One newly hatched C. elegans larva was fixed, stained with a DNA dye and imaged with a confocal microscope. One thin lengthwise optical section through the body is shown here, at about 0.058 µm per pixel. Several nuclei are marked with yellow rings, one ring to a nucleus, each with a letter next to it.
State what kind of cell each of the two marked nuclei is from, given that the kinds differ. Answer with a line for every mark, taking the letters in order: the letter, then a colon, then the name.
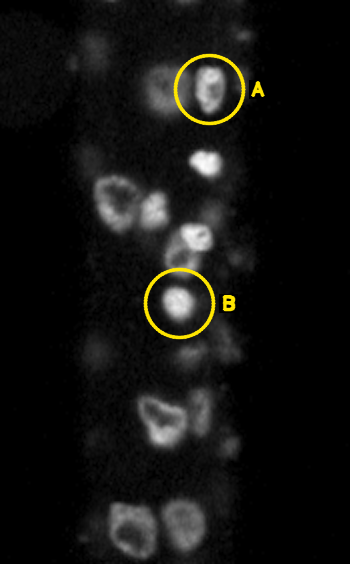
A: body wall muscle cell
B: neuron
